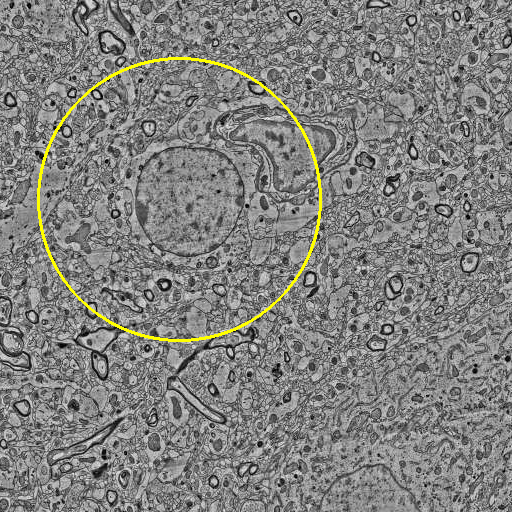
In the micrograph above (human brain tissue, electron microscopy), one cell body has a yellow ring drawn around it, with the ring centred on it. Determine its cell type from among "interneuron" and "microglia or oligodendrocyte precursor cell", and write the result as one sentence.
The cell whose body is ringed is a microglial cell or oligodendrocyte precursor cell.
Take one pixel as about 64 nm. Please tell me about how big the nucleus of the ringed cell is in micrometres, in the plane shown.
In this plane, approximately 7 micrometres across.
